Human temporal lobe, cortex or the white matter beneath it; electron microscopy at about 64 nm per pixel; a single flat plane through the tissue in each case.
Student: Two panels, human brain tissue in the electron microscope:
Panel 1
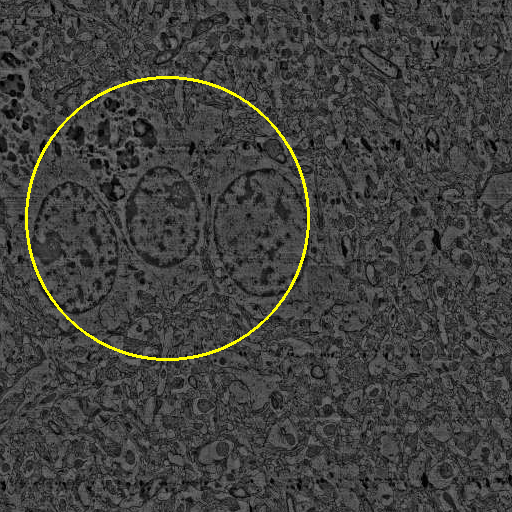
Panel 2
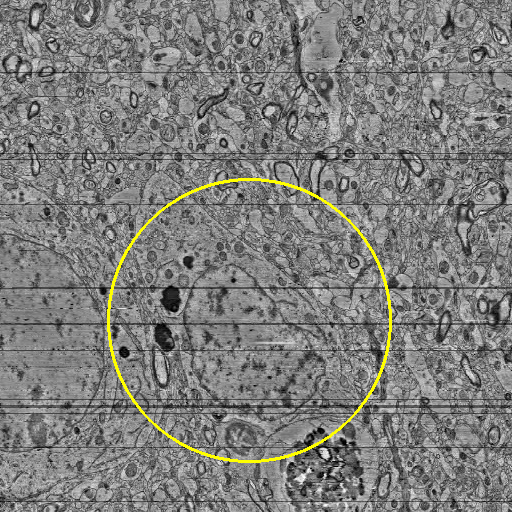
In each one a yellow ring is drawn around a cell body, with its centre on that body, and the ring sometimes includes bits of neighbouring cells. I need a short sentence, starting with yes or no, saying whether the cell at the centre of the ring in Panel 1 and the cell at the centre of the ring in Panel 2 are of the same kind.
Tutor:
No, they are two kinds of cell.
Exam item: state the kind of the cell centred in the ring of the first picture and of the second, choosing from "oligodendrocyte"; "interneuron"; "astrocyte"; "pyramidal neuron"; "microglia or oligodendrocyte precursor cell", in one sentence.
The first picture shows an astrocyte at the ring centre and the second shows an interneuron.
